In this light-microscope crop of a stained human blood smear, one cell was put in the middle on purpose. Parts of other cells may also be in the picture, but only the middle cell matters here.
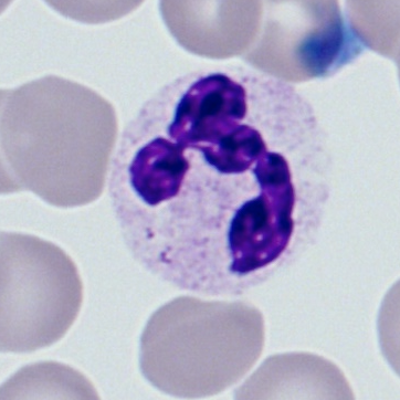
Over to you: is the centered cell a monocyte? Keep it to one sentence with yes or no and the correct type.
No, at the centre of this crop is found a segmented neutrophil instead of a monocyte.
